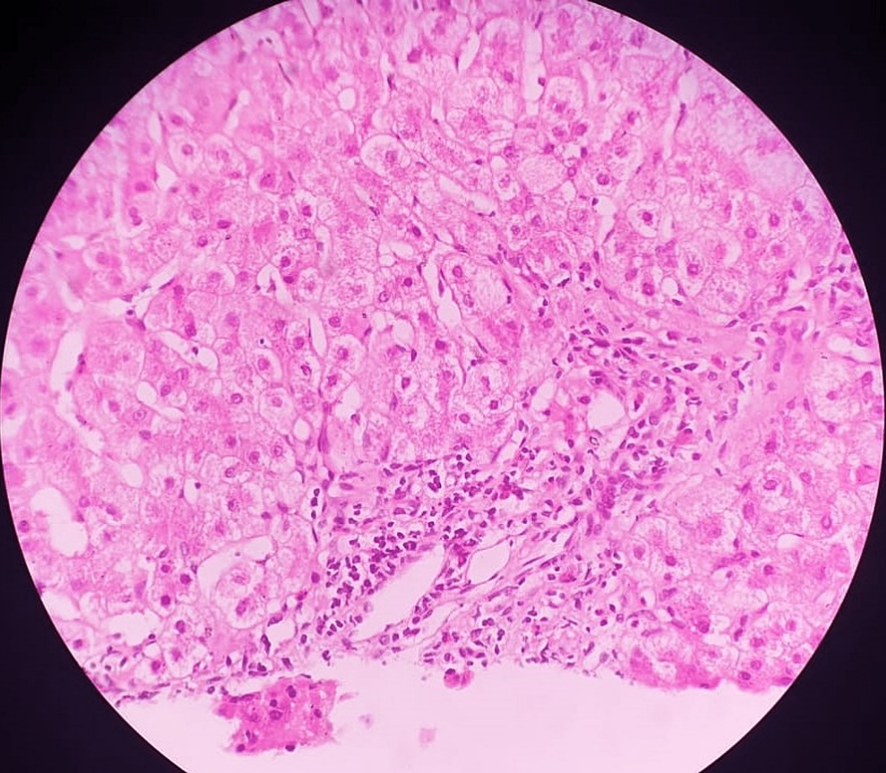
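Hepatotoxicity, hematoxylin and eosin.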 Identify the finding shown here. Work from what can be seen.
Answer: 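In the lower centre, a band of loose connective tissue surrounds thin-walled vascular channels. Many small, dark, closely packed nuclei crowd this connective tissue. Sheets of large polygonal cells with pale pink cytoplasm and round central nuclei surround this zone.
Portal inflammatory infiltrate.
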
